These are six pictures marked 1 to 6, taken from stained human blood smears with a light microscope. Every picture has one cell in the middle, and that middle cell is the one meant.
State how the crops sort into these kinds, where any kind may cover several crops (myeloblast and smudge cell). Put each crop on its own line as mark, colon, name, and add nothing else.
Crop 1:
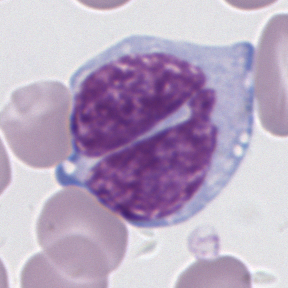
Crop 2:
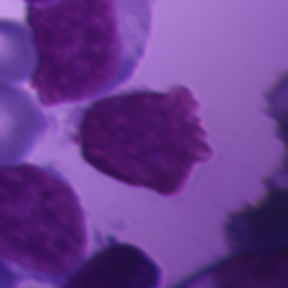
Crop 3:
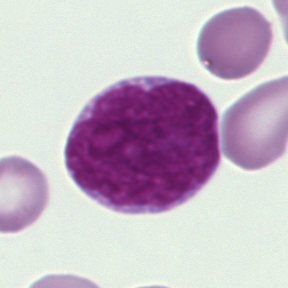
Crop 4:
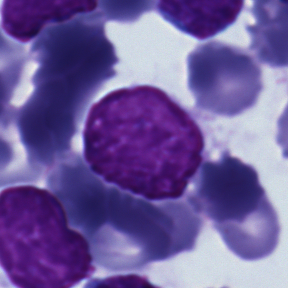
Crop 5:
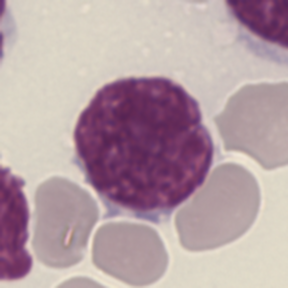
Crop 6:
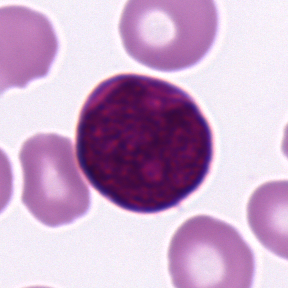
1: myeloblast
2: smudge cell
3: myeloblast
4: smudge cell
5: myeloblast
6: myeloblast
